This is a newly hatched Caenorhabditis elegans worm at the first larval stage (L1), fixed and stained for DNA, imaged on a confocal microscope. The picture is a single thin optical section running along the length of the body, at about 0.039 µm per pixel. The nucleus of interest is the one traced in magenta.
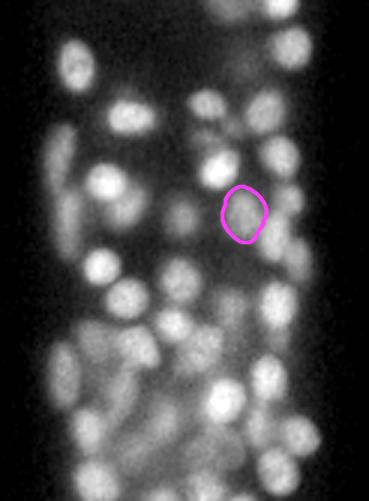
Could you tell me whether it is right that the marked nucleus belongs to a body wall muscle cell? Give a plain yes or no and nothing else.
no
